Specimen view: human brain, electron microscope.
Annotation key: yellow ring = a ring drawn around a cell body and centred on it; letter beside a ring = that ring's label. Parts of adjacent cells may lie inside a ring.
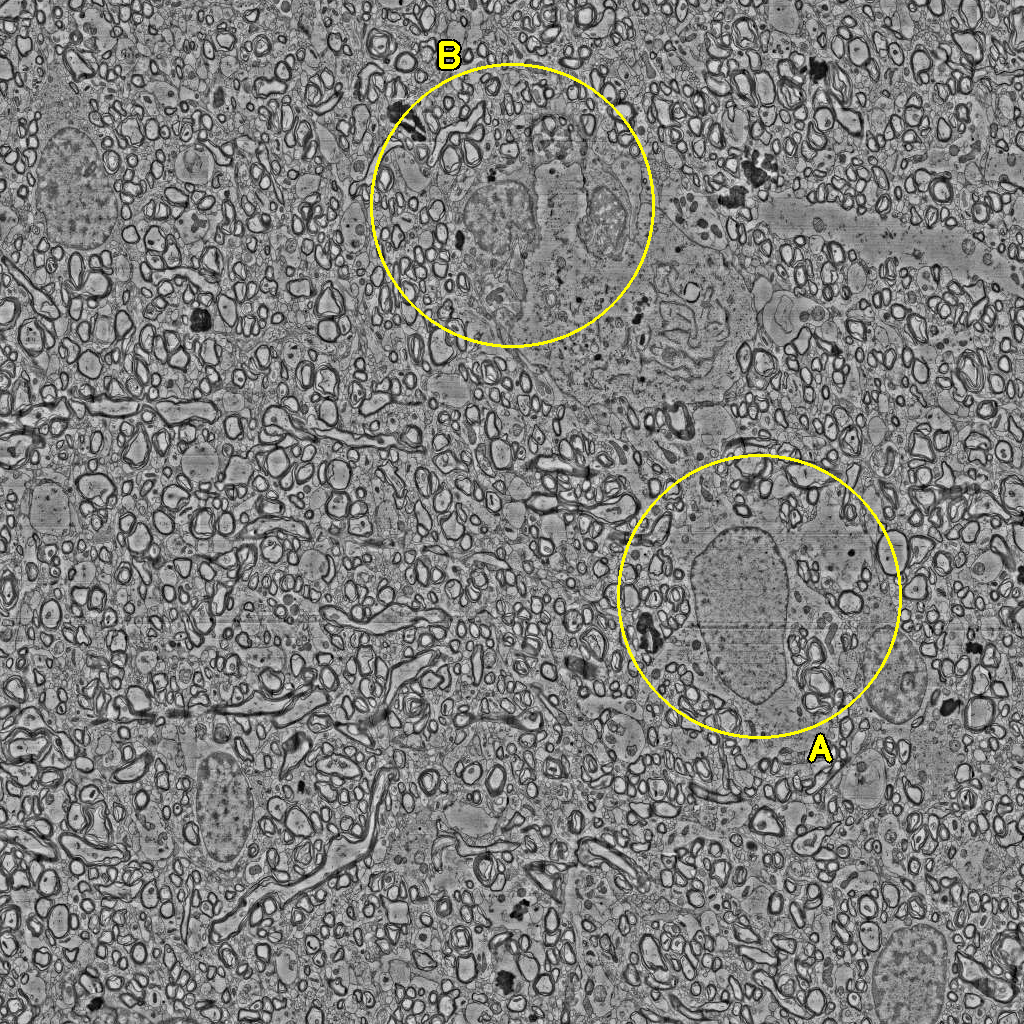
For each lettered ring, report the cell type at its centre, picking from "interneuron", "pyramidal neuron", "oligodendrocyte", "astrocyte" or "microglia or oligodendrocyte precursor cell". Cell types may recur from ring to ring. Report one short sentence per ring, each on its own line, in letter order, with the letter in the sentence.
The cell at the centre of ring A is an astrocyte.
The cell at the centre of ring B is an oligodendrocyte.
